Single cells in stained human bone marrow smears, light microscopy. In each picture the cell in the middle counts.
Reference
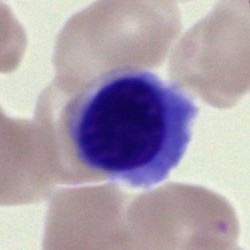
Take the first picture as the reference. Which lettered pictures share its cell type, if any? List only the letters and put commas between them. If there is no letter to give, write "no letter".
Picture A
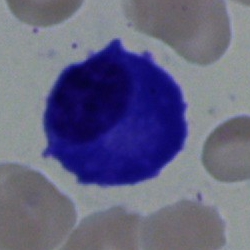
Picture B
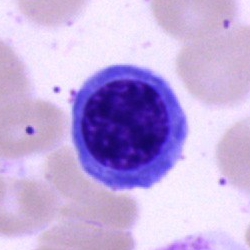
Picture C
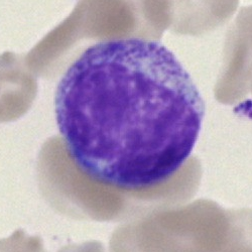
B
